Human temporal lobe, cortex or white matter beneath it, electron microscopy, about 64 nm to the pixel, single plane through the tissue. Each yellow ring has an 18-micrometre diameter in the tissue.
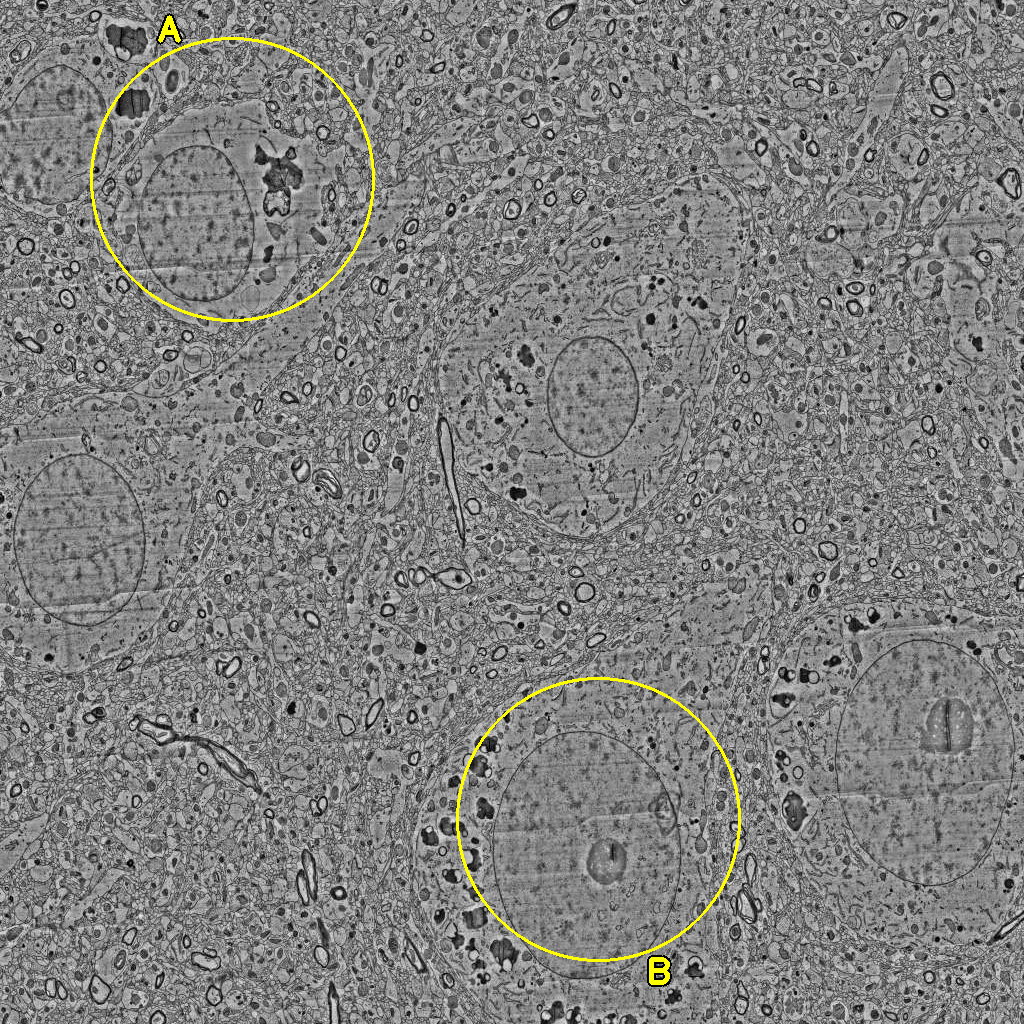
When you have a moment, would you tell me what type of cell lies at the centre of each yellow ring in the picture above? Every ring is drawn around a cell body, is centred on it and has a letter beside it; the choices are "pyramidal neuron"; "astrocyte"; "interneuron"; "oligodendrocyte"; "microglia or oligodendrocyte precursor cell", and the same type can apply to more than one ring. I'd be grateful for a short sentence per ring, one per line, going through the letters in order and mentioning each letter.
The cell at the centre of ring A is an astrocyte.
The cell at the centre of ring B is a pyramidal neuron.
